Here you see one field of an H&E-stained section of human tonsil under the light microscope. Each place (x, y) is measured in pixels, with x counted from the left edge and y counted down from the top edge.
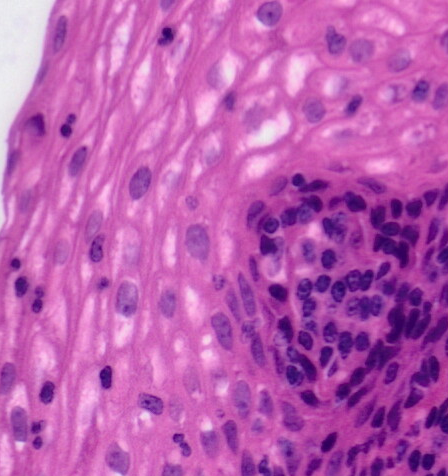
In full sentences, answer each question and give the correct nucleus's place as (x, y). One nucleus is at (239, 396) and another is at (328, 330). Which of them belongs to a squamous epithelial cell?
Rather than the other nucleus, the one at (239, 396) belongs to a squamous epithelial cell.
